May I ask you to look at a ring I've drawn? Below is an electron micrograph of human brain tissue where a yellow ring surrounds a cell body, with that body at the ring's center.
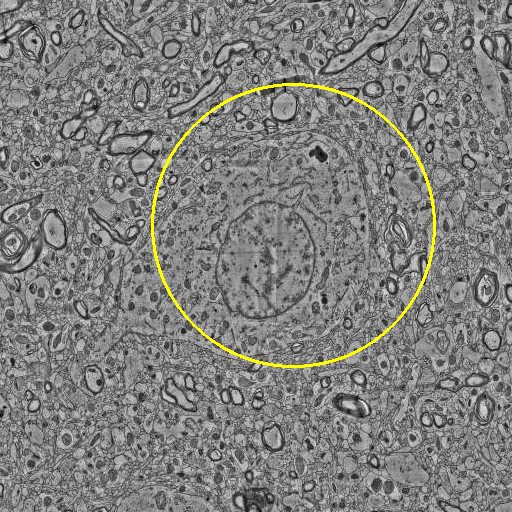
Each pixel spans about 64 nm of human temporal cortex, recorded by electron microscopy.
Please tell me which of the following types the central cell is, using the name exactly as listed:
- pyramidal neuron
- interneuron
pyramidal neuron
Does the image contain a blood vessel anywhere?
No, none appears.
